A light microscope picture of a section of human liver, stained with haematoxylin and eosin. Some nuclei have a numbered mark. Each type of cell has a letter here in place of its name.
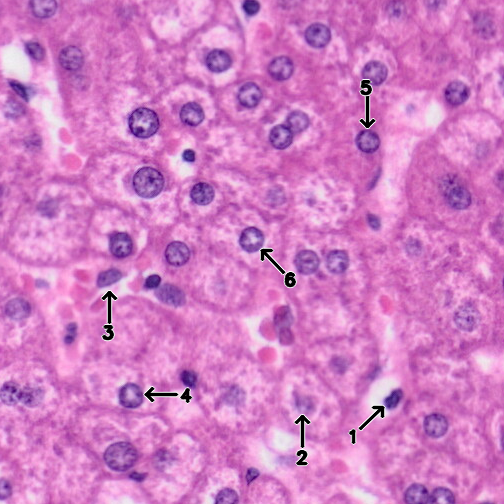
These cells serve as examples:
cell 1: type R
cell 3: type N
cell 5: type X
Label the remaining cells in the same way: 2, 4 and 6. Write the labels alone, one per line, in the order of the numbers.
type X
type X
type X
